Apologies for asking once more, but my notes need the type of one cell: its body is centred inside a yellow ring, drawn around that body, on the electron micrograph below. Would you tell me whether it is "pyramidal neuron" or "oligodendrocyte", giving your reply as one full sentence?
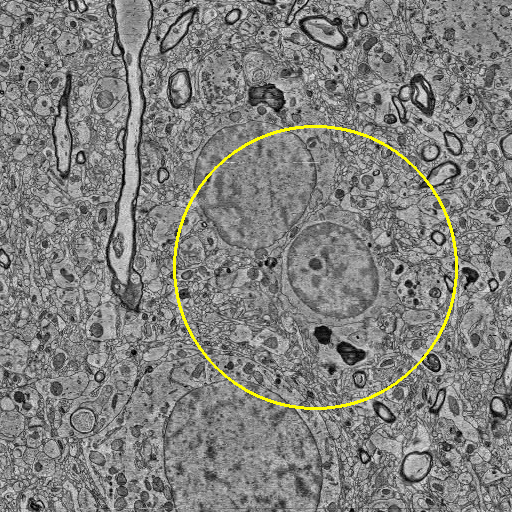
The cell that the yellow ring is centred on is an oligodendrocyte in this micrograph.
